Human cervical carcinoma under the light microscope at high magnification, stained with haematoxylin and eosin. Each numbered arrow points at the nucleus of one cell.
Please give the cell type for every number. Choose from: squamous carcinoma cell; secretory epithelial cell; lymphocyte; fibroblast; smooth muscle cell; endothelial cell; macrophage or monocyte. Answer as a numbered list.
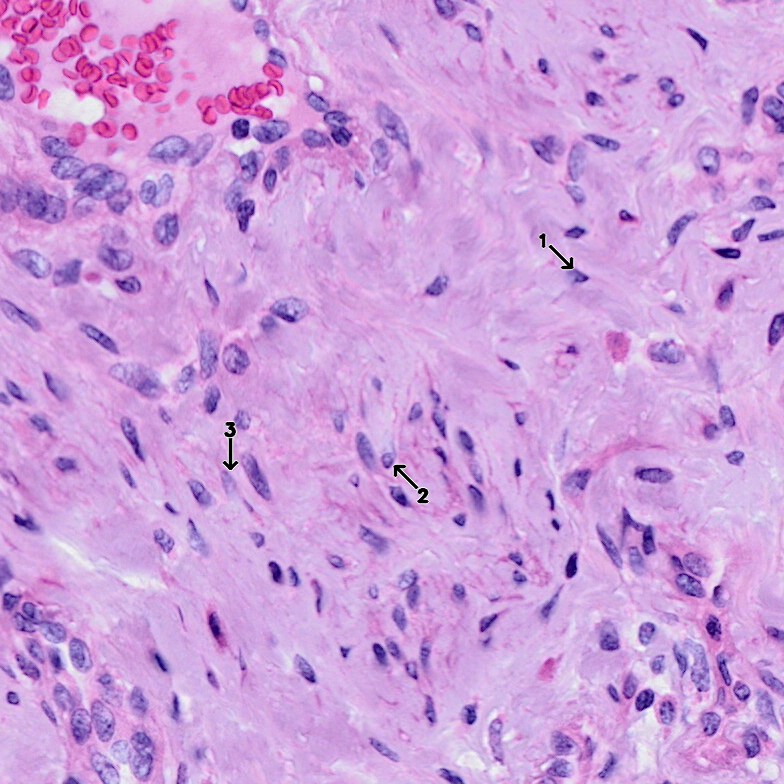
1. fibroblast
2. smooth muscle cell
3. smooth muscle cell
